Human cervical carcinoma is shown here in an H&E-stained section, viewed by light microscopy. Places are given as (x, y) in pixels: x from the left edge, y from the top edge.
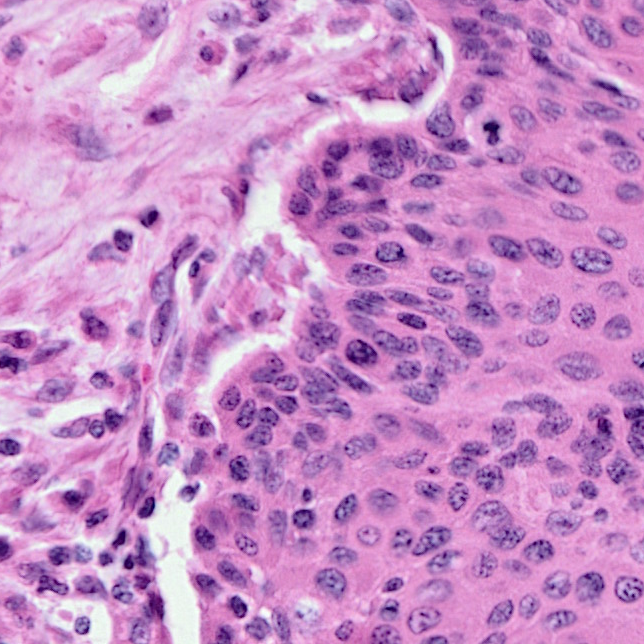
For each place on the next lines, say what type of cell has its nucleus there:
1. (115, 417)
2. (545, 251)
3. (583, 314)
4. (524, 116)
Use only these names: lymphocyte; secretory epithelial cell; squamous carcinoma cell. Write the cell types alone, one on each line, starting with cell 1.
lymphocyte
squamous carcinoma cell
squamous carcinoma cell
squamous carcinoma cell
